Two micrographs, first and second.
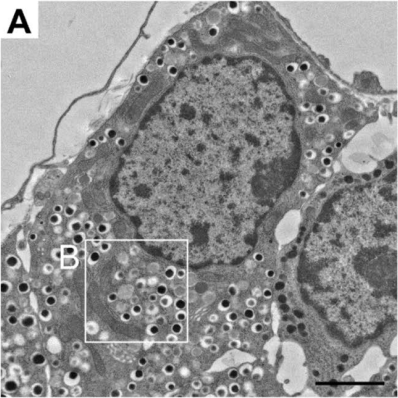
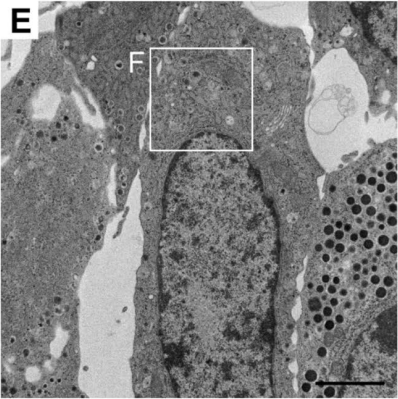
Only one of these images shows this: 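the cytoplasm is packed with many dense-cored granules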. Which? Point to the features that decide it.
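The first image. Second image: the cytoplasm around the nucleus holds only scattered small granules. First image: numerous round granules with black cores and clear halos fill the cytoplasm.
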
